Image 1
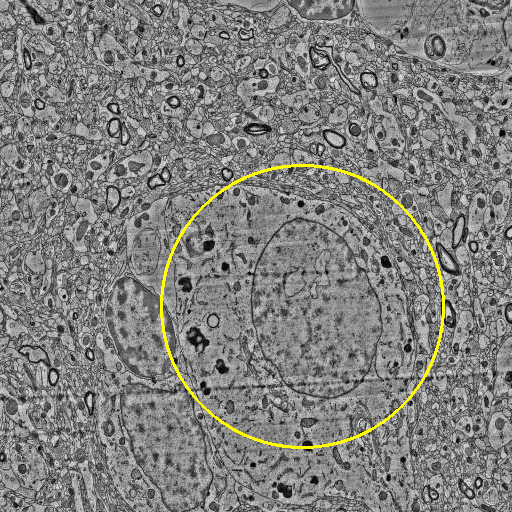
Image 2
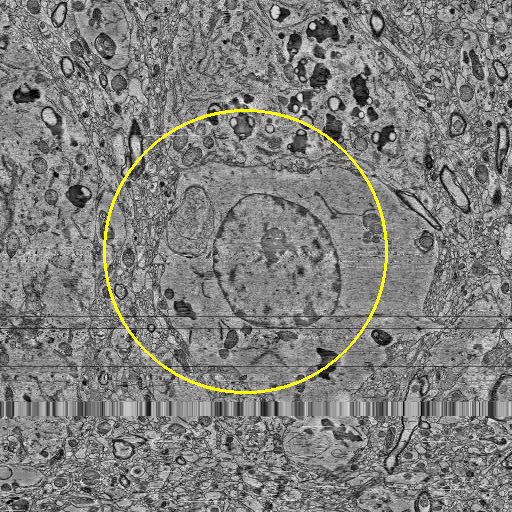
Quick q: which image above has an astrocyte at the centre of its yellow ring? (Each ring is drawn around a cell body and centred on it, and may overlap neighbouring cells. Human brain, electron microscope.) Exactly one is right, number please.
2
